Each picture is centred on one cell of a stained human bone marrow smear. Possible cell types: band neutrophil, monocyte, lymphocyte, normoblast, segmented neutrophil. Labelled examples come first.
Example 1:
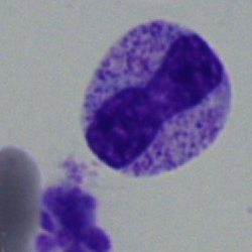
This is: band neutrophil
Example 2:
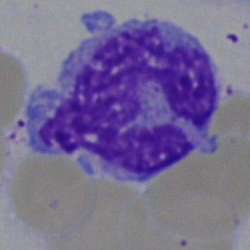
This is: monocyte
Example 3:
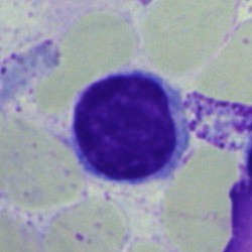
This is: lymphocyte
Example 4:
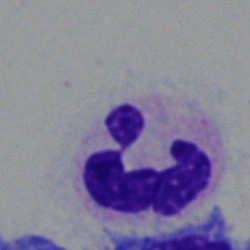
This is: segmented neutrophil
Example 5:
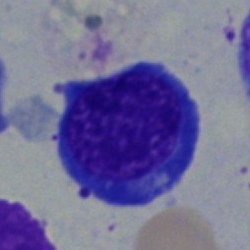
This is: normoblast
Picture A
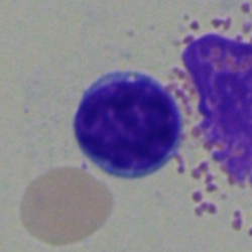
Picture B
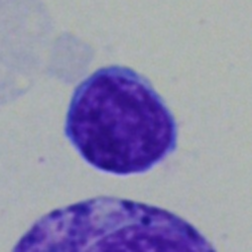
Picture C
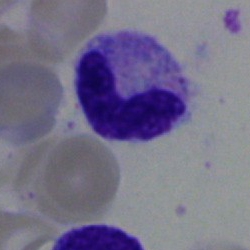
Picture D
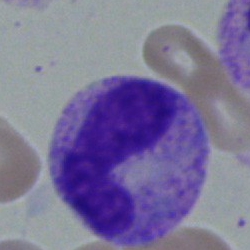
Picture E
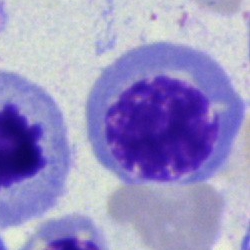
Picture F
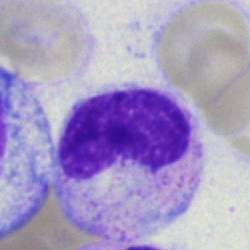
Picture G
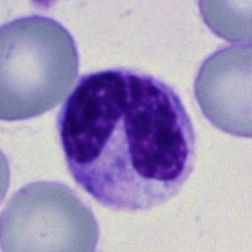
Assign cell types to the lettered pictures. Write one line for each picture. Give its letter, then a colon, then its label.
A: lymphocyte
B: lymphocyte
C: band neutrophil
D: band neutrophil
E: normoblast
F: band neutrophil
G: band neutrophil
